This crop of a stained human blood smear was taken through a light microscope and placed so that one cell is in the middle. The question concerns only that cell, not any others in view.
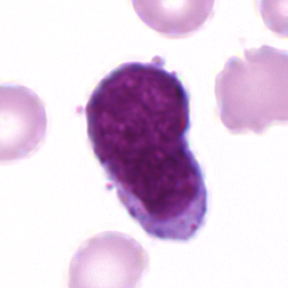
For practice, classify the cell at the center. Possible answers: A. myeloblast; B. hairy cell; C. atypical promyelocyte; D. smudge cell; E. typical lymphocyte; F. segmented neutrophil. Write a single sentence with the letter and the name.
Since the cell in the centre is an atypical promyelocyte, the correct option is C.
